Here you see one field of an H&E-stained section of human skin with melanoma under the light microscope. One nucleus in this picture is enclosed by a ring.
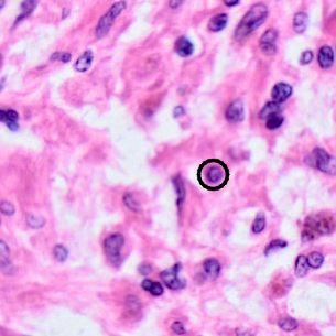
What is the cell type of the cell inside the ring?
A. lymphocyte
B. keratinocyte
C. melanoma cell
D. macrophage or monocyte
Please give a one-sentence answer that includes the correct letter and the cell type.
Under option D, the cell inside the ring is listed as a macrophage or monocyte, which is correct.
